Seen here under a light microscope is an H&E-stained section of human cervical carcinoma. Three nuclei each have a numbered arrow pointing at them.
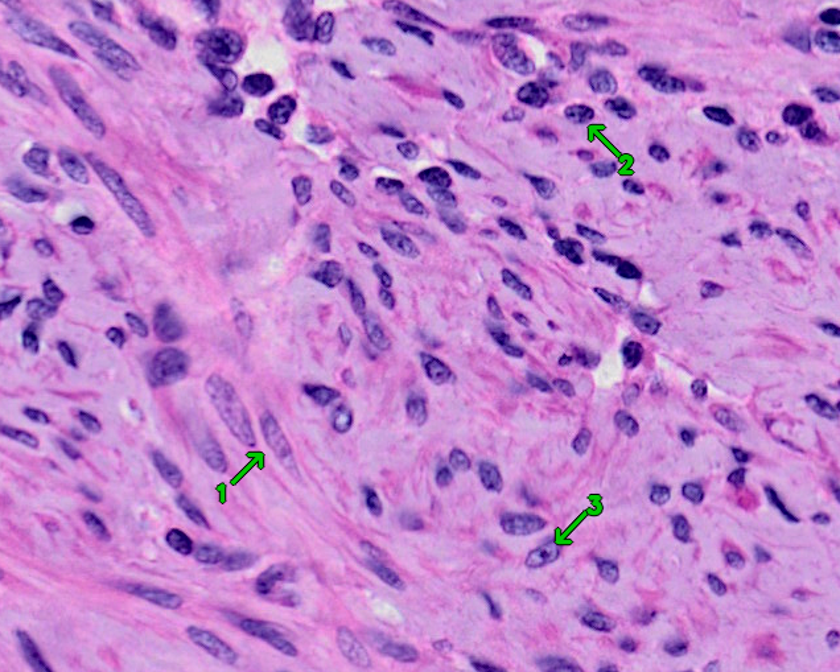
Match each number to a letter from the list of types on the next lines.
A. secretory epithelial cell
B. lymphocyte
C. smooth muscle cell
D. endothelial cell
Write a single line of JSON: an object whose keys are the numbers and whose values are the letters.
{"1": "C", "2": "B", "3": "C"}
